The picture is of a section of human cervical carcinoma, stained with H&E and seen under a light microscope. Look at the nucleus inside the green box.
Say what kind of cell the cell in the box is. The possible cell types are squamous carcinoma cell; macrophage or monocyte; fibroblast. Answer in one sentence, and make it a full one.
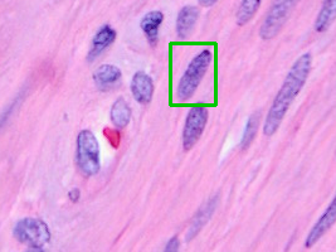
For cell typing purposes, the cell in the box is a fibroblast.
